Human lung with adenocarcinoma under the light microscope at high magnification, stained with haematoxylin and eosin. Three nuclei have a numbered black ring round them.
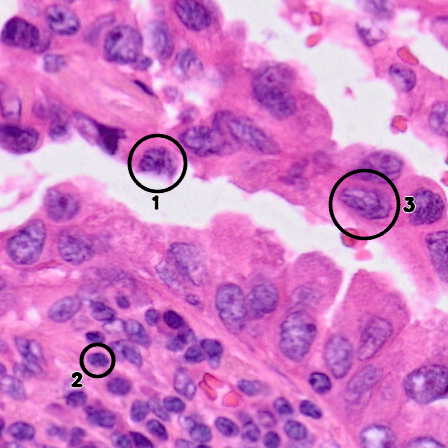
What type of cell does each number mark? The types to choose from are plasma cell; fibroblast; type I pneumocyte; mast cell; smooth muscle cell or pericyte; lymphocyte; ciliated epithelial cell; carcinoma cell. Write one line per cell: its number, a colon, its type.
1: carcinoma cell
2: lymphocyte
3: carcinoma cell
